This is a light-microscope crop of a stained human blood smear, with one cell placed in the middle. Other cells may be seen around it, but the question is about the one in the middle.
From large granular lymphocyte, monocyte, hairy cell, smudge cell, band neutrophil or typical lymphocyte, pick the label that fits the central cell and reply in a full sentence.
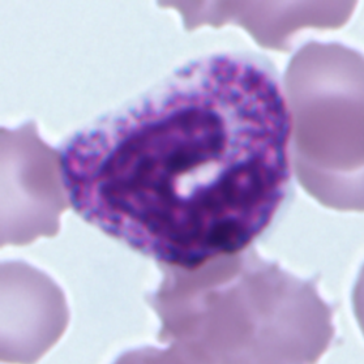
Located at the centre of the crop is a band neutrophil.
